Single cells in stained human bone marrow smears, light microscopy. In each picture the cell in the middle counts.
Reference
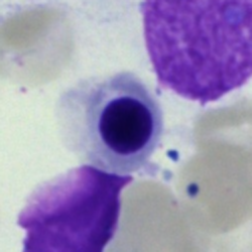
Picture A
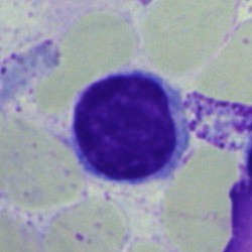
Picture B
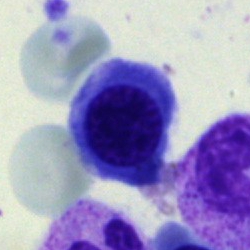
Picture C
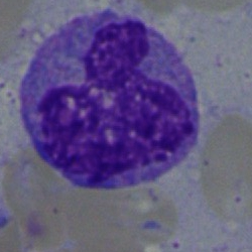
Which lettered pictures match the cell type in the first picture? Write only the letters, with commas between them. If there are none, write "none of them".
B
